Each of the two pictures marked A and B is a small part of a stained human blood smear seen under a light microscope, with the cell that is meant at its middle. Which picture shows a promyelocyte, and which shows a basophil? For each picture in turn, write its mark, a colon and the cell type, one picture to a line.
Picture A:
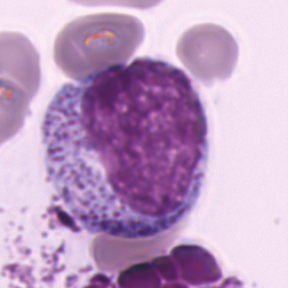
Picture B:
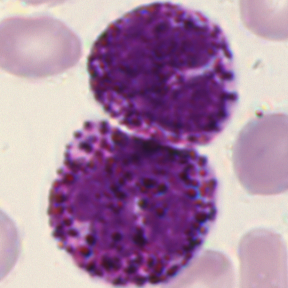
A: promyelocyte
B: basophil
